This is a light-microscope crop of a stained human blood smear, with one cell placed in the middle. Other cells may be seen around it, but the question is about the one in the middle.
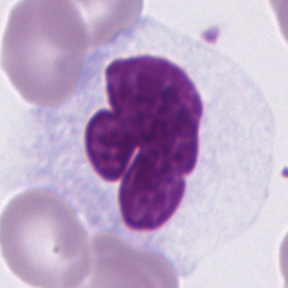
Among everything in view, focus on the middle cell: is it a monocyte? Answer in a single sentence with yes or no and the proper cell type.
Yes, a monocyte is present in the middle of the crop.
